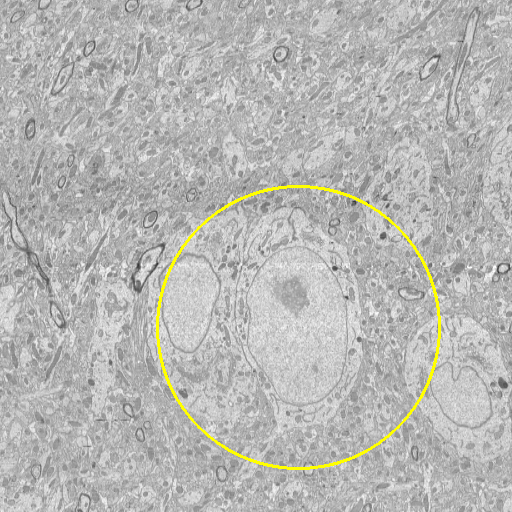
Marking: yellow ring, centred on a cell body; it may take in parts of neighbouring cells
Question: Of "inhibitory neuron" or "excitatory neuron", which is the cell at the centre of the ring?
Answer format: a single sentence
The ring surrounds the body of an inhibitory neuron.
